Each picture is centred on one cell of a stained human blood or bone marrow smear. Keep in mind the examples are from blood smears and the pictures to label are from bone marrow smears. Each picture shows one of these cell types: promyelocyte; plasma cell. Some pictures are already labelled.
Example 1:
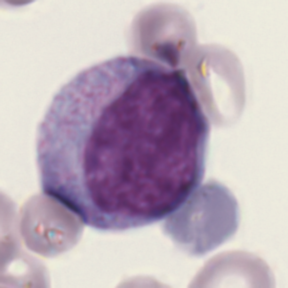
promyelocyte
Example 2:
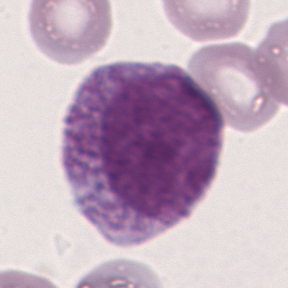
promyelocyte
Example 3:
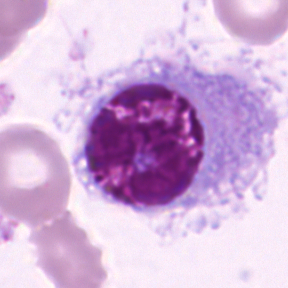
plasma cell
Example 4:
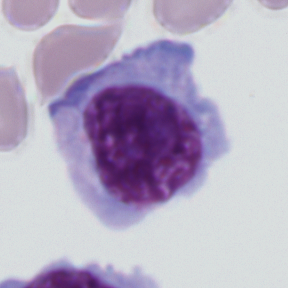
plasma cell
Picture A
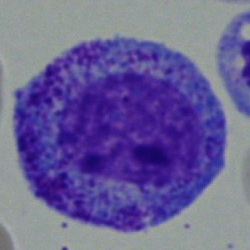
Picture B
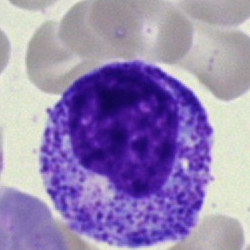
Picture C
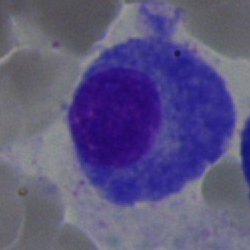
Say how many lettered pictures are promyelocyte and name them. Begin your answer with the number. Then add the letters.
2: A, B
